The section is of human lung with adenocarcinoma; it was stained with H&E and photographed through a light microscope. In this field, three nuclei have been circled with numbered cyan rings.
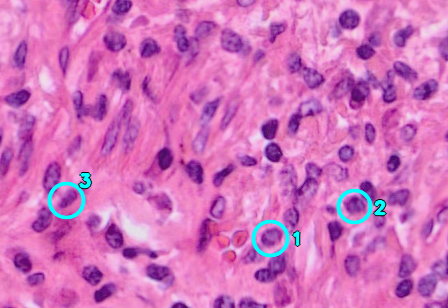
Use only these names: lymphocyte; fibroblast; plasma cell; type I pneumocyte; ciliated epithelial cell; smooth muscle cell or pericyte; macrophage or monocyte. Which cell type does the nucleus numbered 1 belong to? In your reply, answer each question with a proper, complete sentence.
At number 1, the marked cell is a lymphocyte.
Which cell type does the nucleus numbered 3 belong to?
The cell numbered 3 represents a plasma cell.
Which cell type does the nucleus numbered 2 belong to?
The cell indicated with the number 2 is classed as a lymphocyte.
